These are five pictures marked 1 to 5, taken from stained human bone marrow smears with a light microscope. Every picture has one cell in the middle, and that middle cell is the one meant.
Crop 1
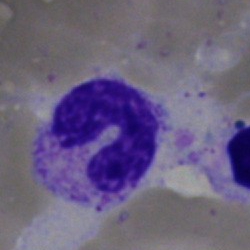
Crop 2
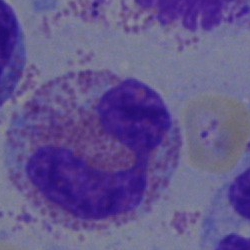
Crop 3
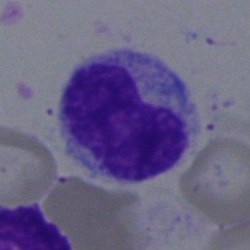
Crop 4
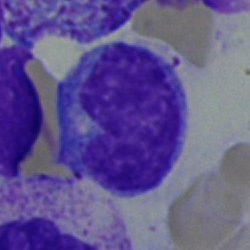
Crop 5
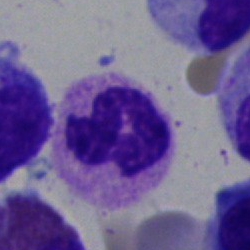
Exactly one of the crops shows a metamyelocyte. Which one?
3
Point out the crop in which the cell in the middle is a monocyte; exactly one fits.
4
